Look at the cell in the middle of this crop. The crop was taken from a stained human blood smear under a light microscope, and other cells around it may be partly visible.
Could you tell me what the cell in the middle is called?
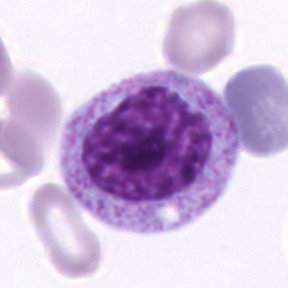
myelocyte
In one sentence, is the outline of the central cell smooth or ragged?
The cell shows a smooth outline that lacks any surface projections.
